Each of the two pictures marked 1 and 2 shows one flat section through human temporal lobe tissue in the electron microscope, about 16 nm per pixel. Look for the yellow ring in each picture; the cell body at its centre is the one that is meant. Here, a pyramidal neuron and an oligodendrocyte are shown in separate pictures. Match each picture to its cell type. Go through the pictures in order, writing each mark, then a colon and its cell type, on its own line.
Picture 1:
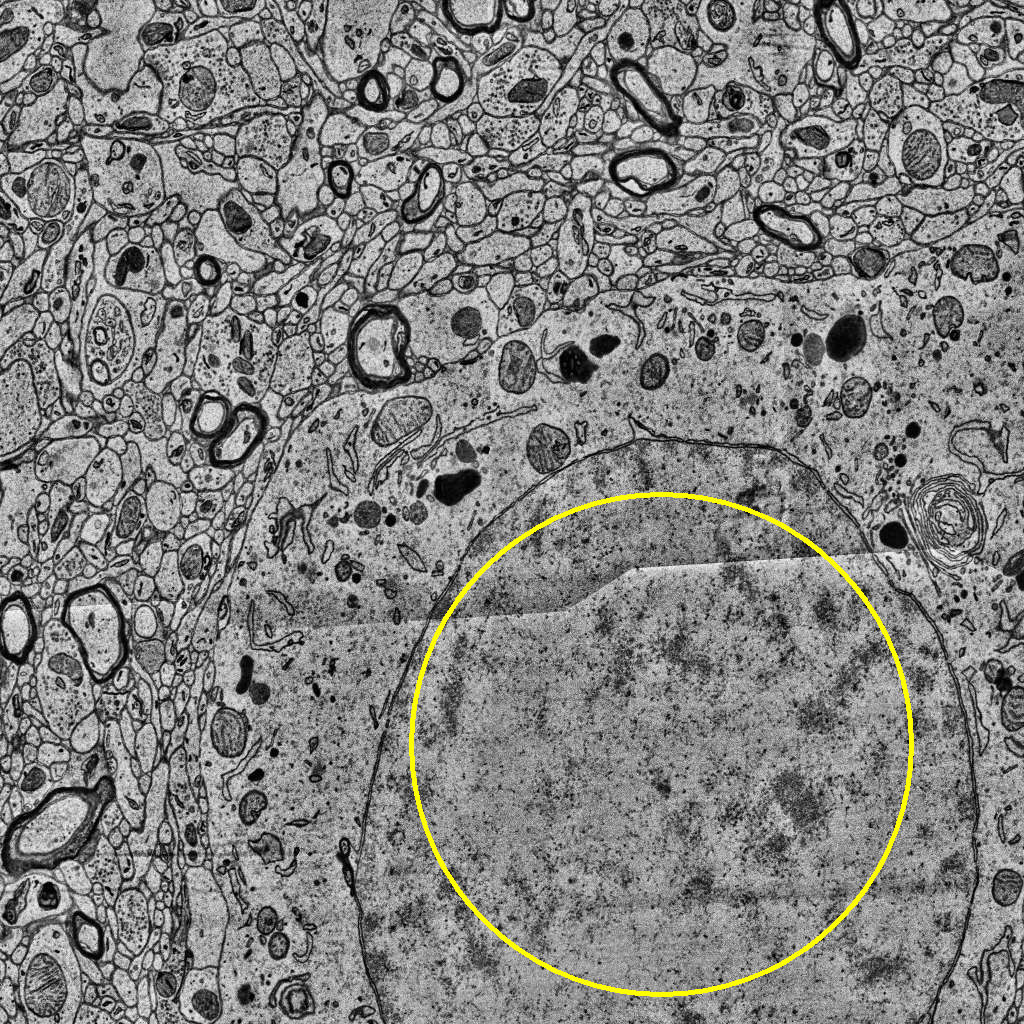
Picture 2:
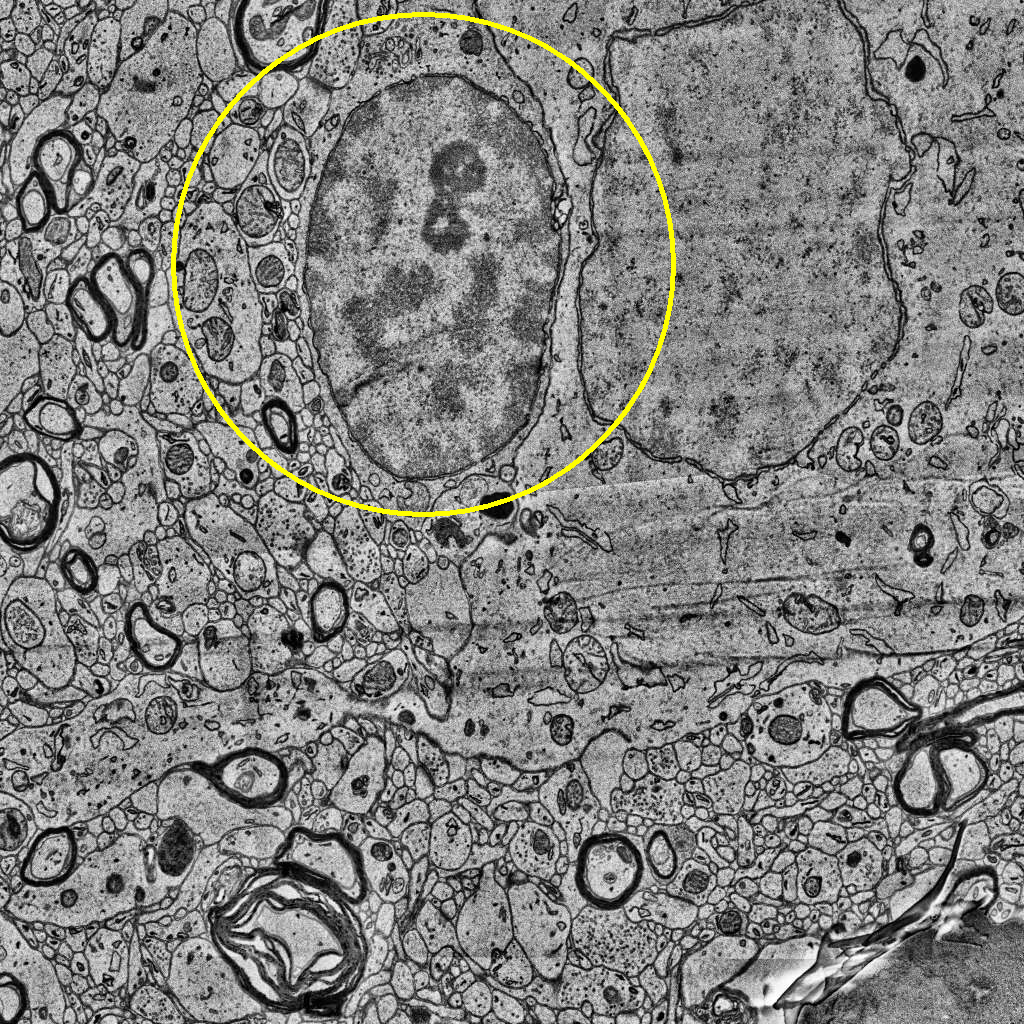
1: pyramidal neuron
2: oligodendrocyte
